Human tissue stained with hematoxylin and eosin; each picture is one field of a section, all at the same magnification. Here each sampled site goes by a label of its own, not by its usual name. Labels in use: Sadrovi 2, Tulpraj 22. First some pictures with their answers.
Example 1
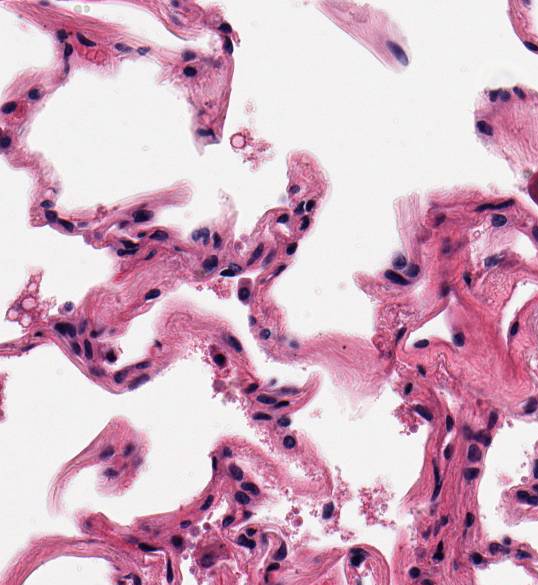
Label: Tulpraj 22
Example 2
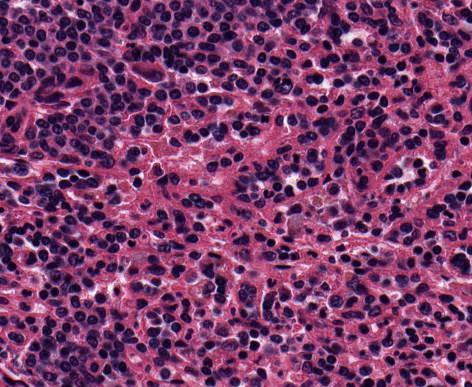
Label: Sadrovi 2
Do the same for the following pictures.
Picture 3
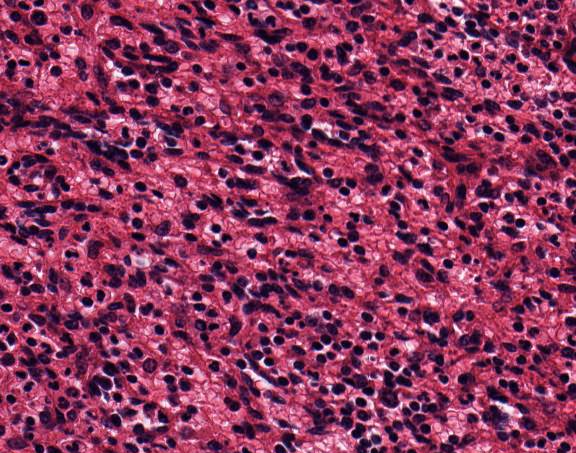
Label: Sadrovi 2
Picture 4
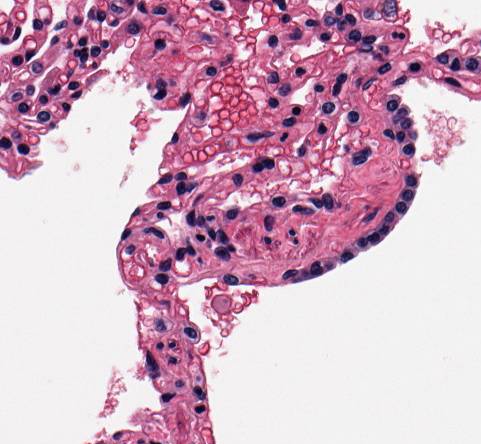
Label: Tulpraj 22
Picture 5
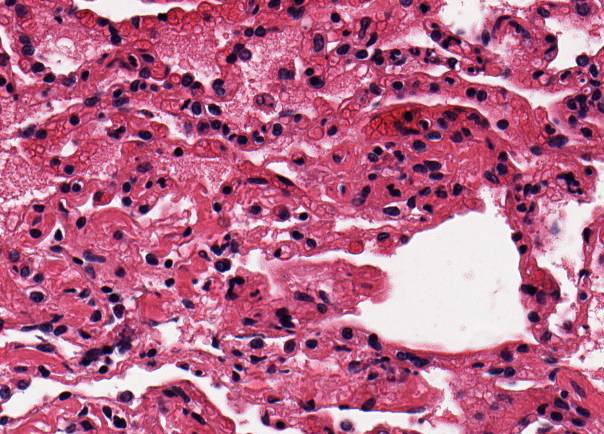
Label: Tulpraj 22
